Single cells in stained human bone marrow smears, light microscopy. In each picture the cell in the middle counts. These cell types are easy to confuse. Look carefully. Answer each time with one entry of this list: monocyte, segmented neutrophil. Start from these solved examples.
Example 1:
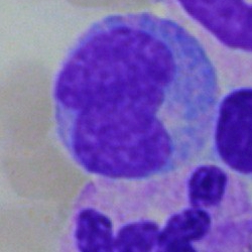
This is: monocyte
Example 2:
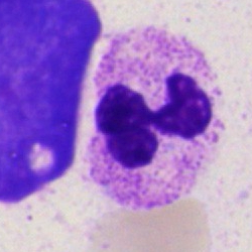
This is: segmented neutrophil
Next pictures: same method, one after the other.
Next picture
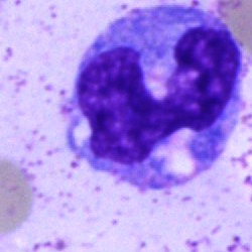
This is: monocyte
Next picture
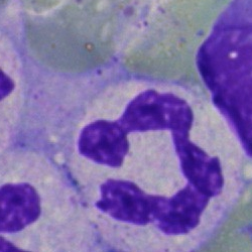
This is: segmented neutrophil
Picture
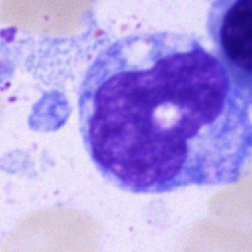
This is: monocyte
